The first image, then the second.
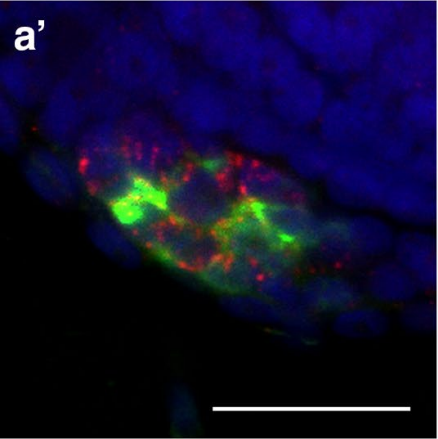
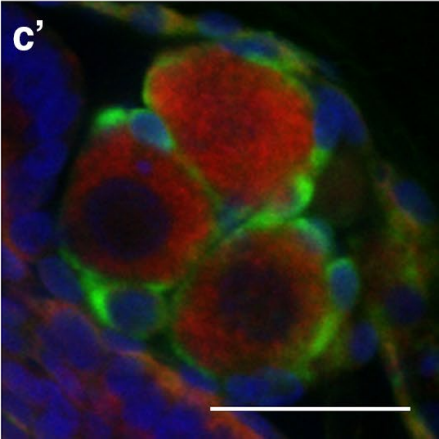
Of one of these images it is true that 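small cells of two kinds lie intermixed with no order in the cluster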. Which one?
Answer: The first image.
